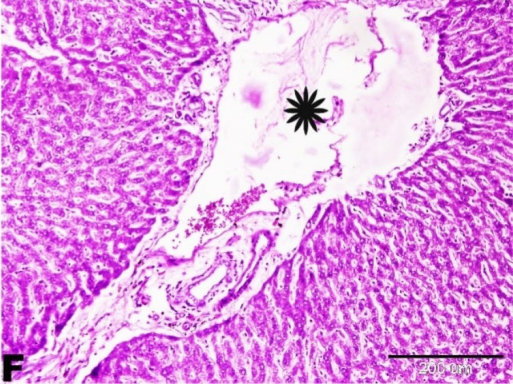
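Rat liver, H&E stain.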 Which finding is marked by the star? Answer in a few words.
Severe periportal edema.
